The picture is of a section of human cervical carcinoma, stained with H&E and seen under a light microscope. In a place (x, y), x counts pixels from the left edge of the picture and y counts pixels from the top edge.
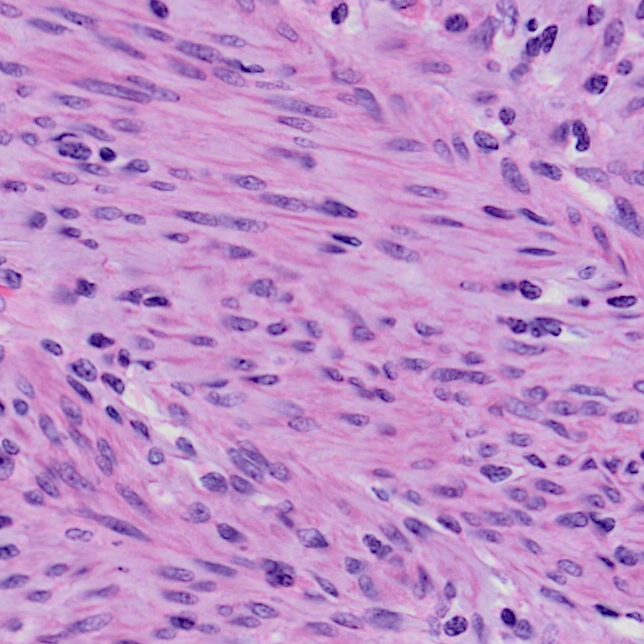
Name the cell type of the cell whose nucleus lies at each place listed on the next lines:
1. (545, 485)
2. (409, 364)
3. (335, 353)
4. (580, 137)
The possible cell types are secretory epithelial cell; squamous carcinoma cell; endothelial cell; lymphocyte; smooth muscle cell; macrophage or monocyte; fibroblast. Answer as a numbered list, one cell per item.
1. smooth muscle cell
2. smooth muscle cell
3. smooth muscle cell
4. lymphocyte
